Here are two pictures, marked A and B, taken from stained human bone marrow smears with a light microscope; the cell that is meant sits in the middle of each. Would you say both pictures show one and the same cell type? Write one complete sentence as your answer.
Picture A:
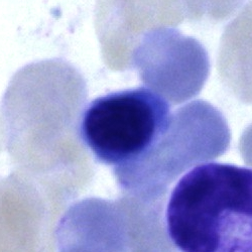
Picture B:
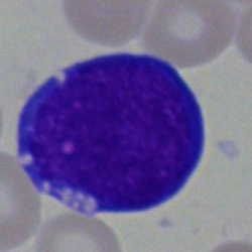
No, picture A shows an erythroblast and picture B shows a blast.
